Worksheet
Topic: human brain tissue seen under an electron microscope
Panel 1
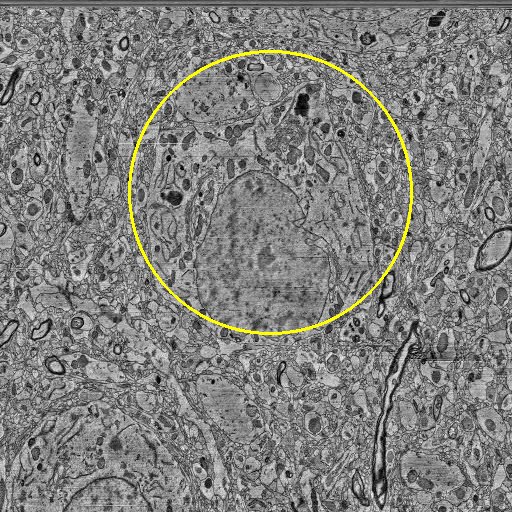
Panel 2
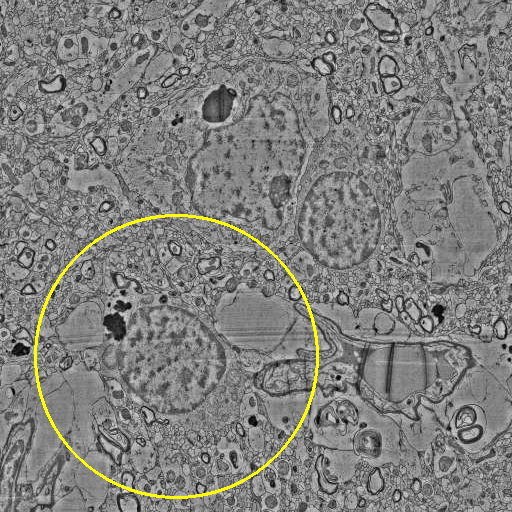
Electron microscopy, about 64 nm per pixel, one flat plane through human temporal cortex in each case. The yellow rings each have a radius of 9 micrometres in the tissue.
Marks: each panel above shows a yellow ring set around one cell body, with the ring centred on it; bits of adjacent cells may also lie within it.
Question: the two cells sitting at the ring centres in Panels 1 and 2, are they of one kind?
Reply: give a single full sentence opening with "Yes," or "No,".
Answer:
No, the two ring-centre cells in Panel 1 and Panel 2 are of two kinds.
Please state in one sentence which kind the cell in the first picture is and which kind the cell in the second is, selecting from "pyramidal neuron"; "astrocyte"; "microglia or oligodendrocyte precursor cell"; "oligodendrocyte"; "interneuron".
The first ringed cell is an interneuron, the second ringed cell an oligodendrocyte.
